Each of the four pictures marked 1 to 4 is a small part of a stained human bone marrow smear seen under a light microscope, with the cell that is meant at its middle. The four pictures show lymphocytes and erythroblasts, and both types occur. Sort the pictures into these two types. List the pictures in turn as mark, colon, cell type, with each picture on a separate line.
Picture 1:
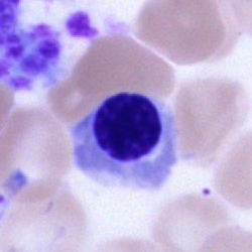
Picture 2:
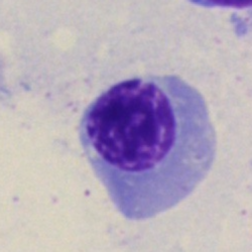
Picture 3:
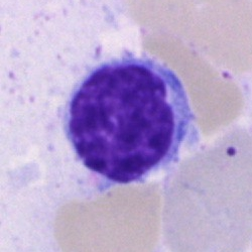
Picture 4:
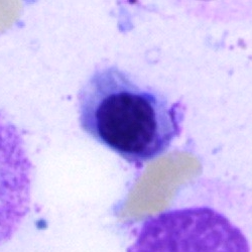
1: erythroblast
2: erythroblast
3: lymphocyte
4: erythroblast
